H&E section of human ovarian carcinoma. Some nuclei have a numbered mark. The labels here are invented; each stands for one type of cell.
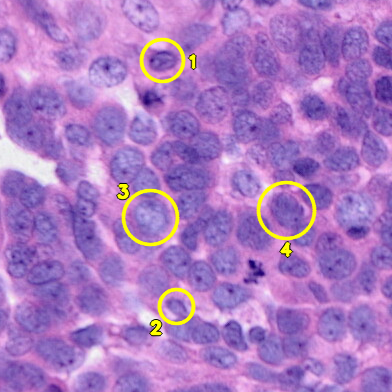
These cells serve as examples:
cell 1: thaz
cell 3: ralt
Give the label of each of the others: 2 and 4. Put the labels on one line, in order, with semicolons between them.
thaz; ralt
